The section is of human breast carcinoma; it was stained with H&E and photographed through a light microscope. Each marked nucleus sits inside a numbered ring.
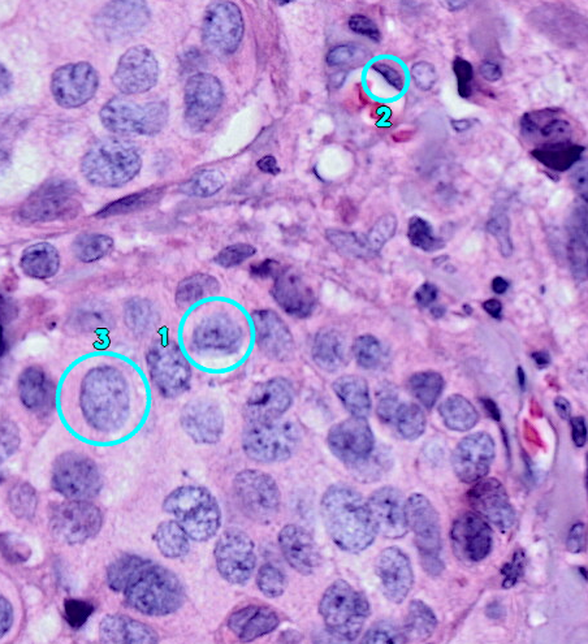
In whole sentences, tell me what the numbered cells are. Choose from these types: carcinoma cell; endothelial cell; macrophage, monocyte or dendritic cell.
Cells 1 and 3 are carcinoma cells. Cell 2 is an endothelial cell.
